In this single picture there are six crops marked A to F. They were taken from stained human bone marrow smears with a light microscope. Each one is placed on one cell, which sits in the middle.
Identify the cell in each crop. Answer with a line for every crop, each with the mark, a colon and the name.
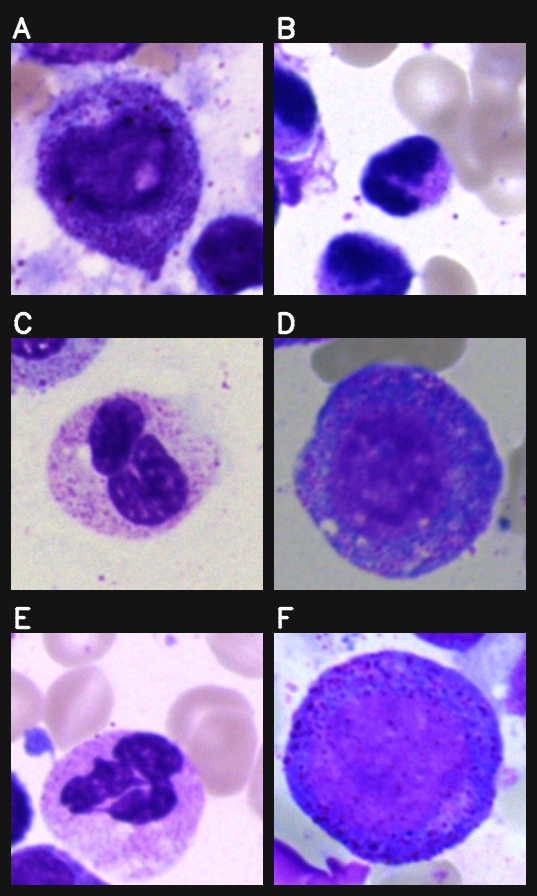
A: promyelocyte
B: segmented neutrophil
C: segmented neutrophil
D: promyelocyte
E: segmented neutrophil
F: promyelocyte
